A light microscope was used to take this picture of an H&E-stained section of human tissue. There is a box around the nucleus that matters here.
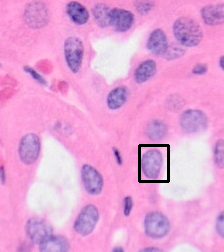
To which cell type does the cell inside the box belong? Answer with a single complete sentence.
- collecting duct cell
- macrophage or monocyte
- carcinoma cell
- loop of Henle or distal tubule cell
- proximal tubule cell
In this tissue section, the cell inside the box is to be classed as a loop of Henle or distal tubule cell.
